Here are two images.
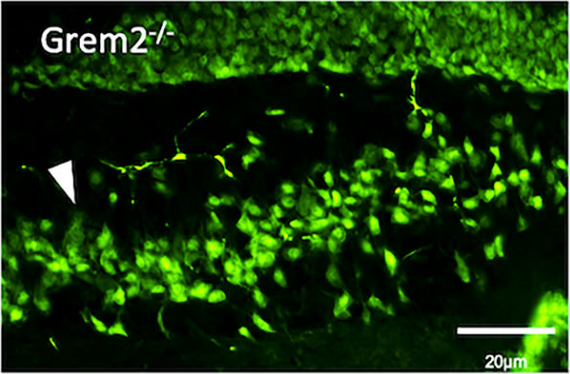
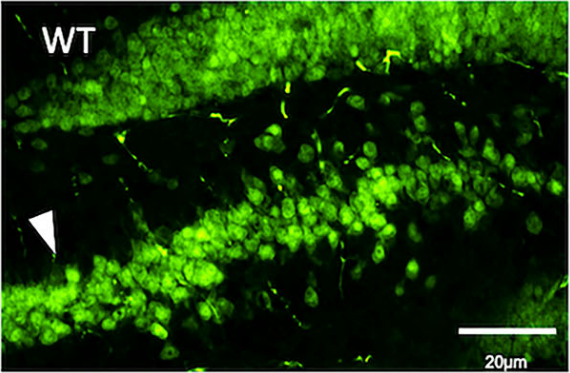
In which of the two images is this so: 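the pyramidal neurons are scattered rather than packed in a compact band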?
The first image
